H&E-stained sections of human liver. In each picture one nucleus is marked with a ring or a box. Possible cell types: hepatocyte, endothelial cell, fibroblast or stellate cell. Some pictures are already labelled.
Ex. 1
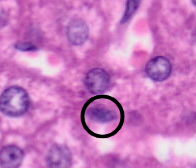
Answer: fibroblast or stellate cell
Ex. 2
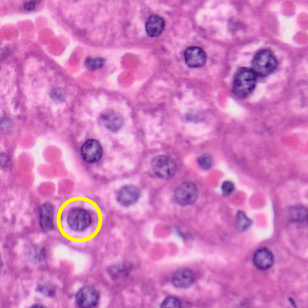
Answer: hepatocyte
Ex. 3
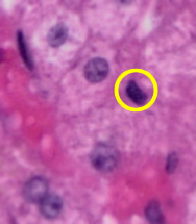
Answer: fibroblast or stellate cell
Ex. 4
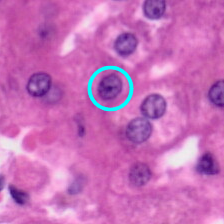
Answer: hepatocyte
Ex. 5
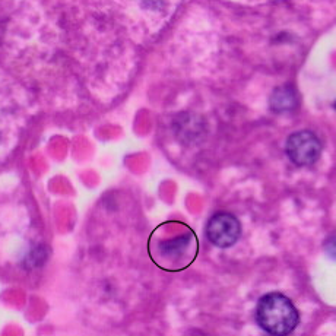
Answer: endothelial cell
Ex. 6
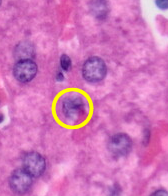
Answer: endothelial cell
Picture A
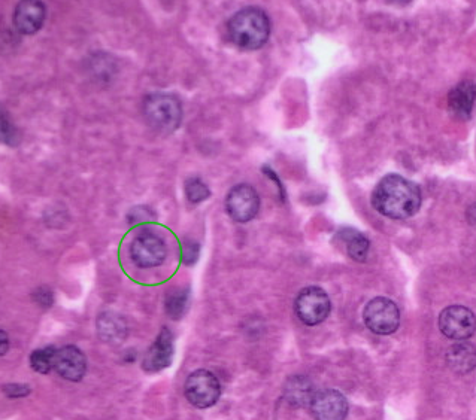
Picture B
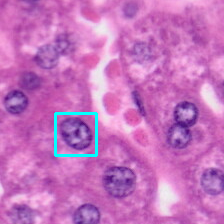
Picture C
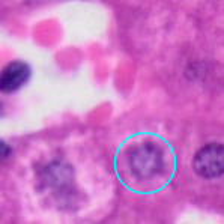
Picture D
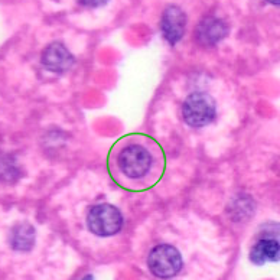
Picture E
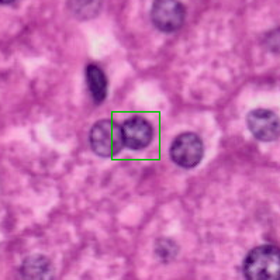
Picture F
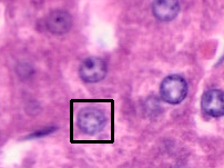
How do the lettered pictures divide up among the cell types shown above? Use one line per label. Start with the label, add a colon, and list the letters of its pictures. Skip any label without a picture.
hepatocyte: A, B, C, D, E, F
